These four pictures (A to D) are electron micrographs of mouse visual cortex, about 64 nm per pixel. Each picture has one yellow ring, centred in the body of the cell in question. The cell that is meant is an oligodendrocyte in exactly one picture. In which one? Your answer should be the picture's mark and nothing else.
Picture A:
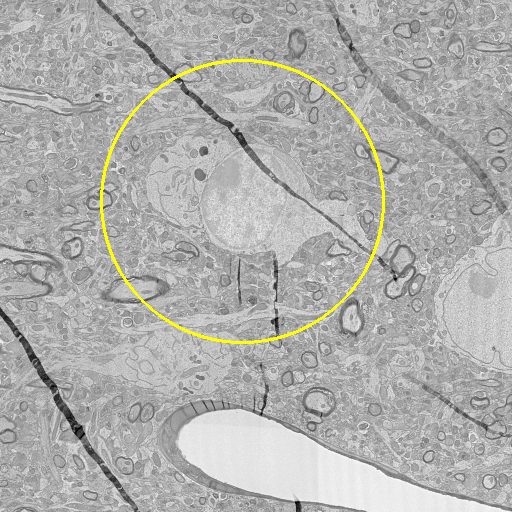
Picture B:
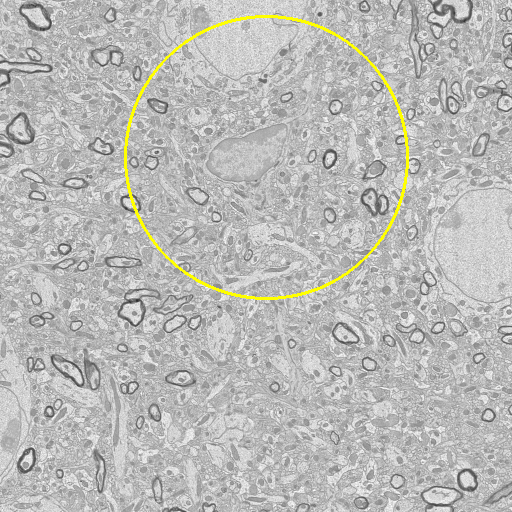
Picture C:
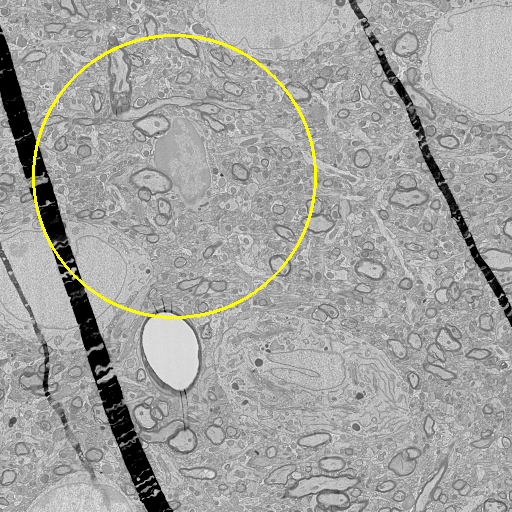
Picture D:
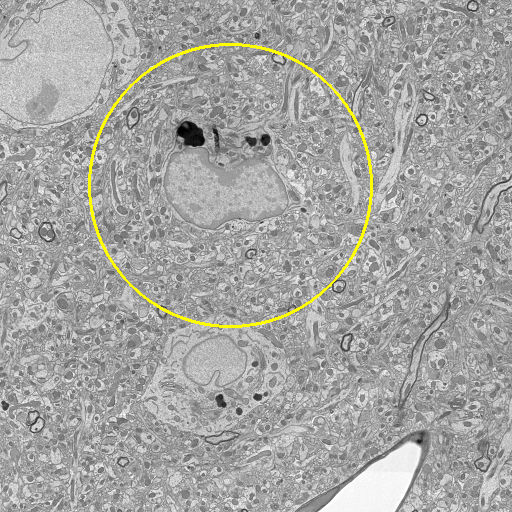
A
